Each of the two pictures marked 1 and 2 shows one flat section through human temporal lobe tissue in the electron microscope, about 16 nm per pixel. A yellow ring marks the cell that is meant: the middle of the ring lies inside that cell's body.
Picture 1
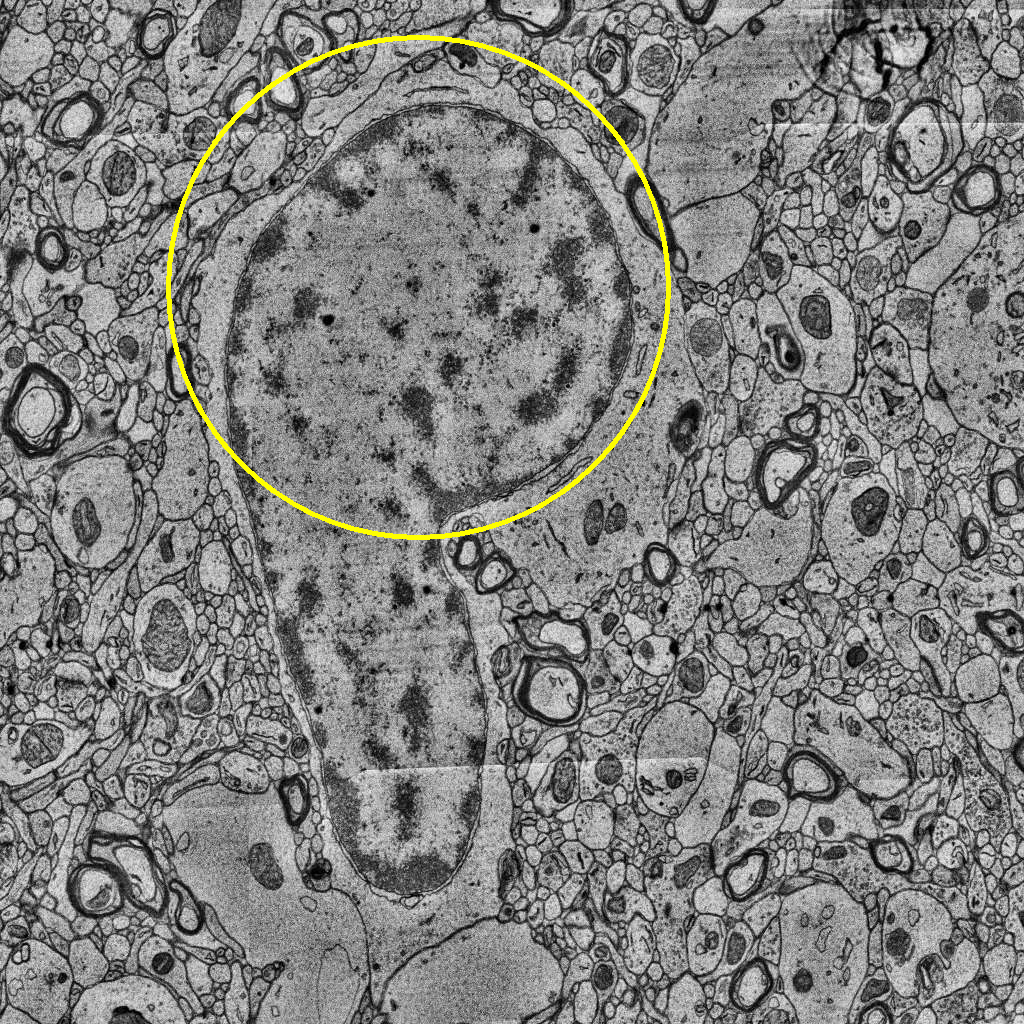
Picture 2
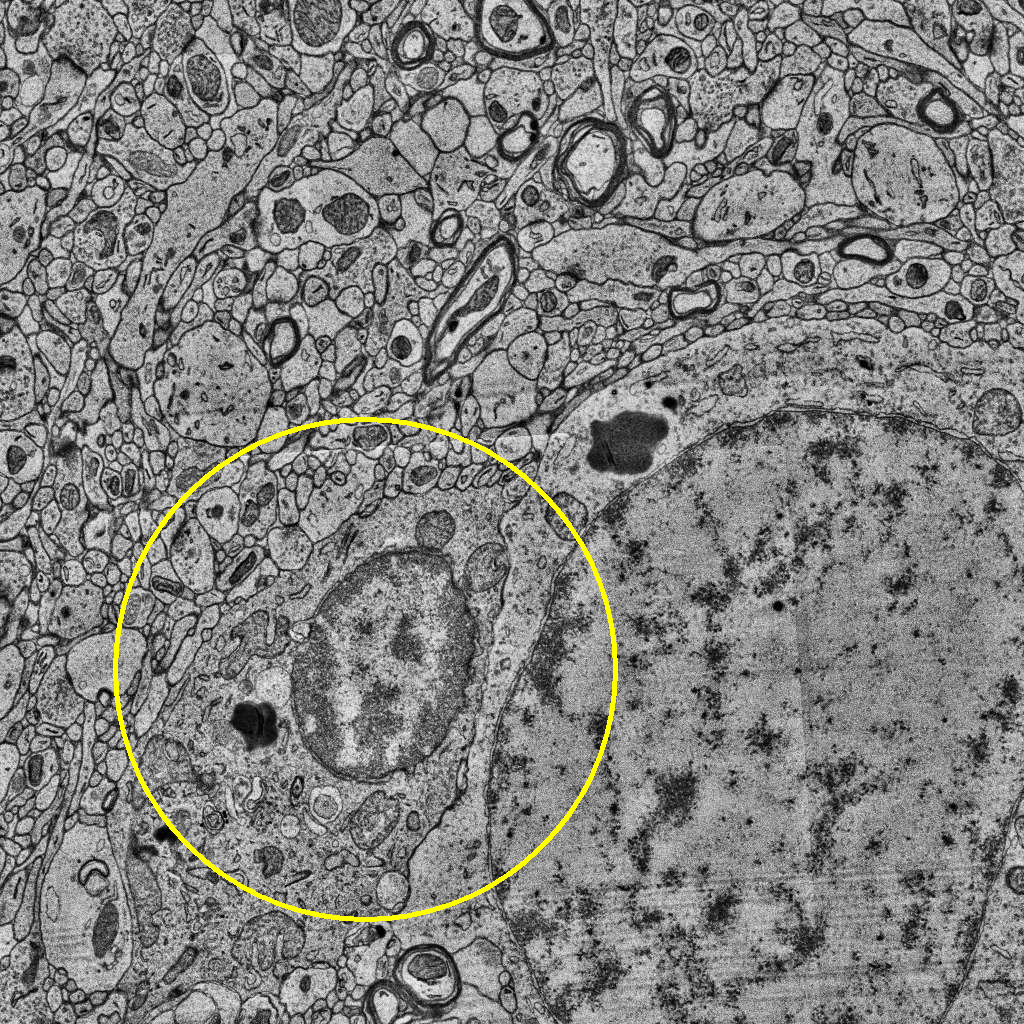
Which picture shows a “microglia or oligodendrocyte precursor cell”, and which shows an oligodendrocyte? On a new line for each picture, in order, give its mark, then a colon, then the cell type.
1: microglia or oligodendrocyte precursor cell
2: oligodendrocyte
